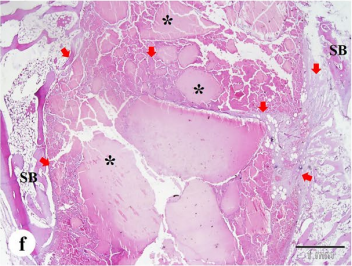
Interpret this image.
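The filling stains pale to moderate pink and is broken into irregular blocks and fragments separated by clefts, with a large smooth pale-pink block in the lower part of the defect. On either side, thin pink trabeculae of spongy bone branch around pale marrow spaces.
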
